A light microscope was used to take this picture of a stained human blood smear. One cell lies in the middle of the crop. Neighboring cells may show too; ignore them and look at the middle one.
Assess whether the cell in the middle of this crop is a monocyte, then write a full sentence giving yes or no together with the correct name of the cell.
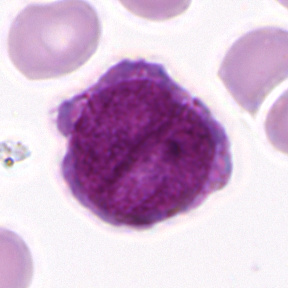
No, in this crop the central cell is an atypical promyelocyte instead of a monocyte.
